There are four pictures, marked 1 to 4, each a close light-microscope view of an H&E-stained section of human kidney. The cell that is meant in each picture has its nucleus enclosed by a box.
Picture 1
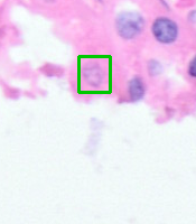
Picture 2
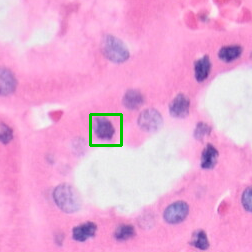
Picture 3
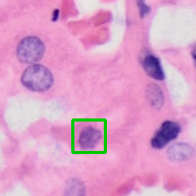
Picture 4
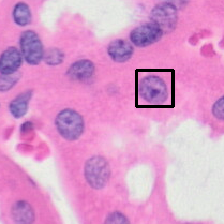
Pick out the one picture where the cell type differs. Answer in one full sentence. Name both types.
The others show proximal tubule cells, but picture 2 shows a “loop of Henle or distal tubule cell”.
